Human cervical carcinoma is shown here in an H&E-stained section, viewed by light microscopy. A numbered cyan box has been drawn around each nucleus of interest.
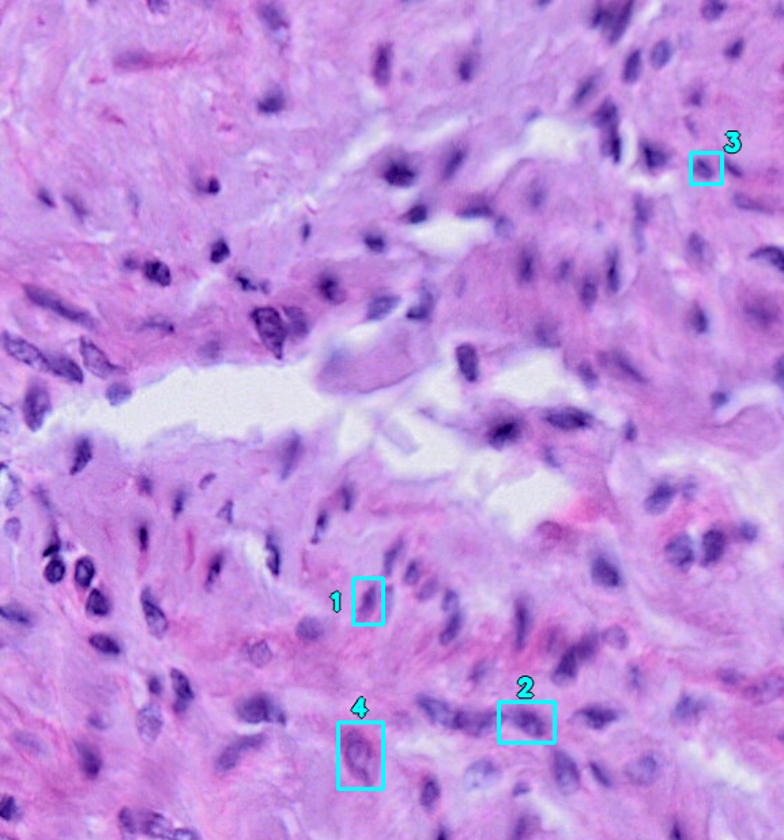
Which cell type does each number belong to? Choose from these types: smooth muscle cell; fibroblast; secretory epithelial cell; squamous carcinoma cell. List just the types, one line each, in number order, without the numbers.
smooth muscle cell
fibroblast
fibroblast
smooth muscle cell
